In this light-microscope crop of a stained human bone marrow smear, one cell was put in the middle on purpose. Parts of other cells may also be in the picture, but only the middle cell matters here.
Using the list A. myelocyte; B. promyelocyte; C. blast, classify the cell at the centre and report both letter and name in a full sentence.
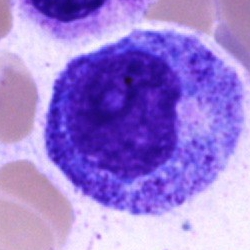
Given that the cell in the middle is a promyelocyte, option B is correct.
